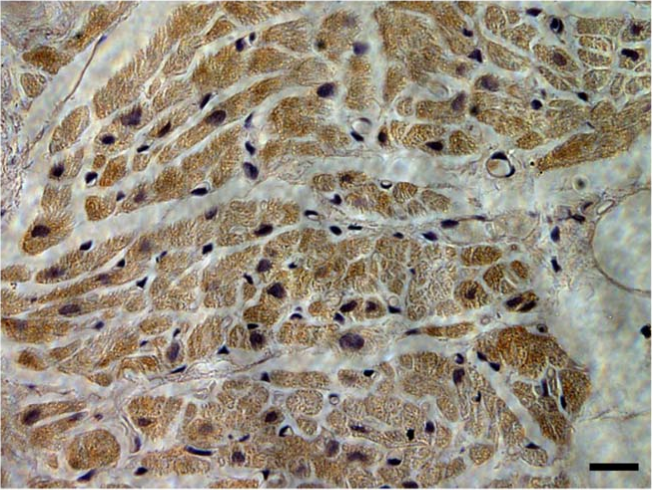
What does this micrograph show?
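This is heart muscle, with the cardiac myocytes cut partly across and partly along their length and grouped in bundles. The cytoplasm of the muscle cells is filled with an even brown colour and has a fine fibrillar, speckled texture. Between the bundles run pale, narrow interstitial clefts of connective tissue, in which smaller, darker, elongated nuclei of interstitial cells lie. A few small vessel profiles are visible among the bundles, and a larger pale, unstained area lies at the right edge.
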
